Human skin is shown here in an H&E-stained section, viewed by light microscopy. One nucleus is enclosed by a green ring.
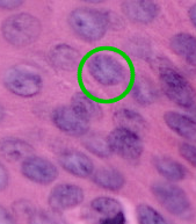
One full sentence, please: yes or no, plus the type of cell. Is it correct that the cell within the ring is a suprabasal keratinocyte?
Yes, the cell within the ring is identified as a suprabasal keratinocyte in this section.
